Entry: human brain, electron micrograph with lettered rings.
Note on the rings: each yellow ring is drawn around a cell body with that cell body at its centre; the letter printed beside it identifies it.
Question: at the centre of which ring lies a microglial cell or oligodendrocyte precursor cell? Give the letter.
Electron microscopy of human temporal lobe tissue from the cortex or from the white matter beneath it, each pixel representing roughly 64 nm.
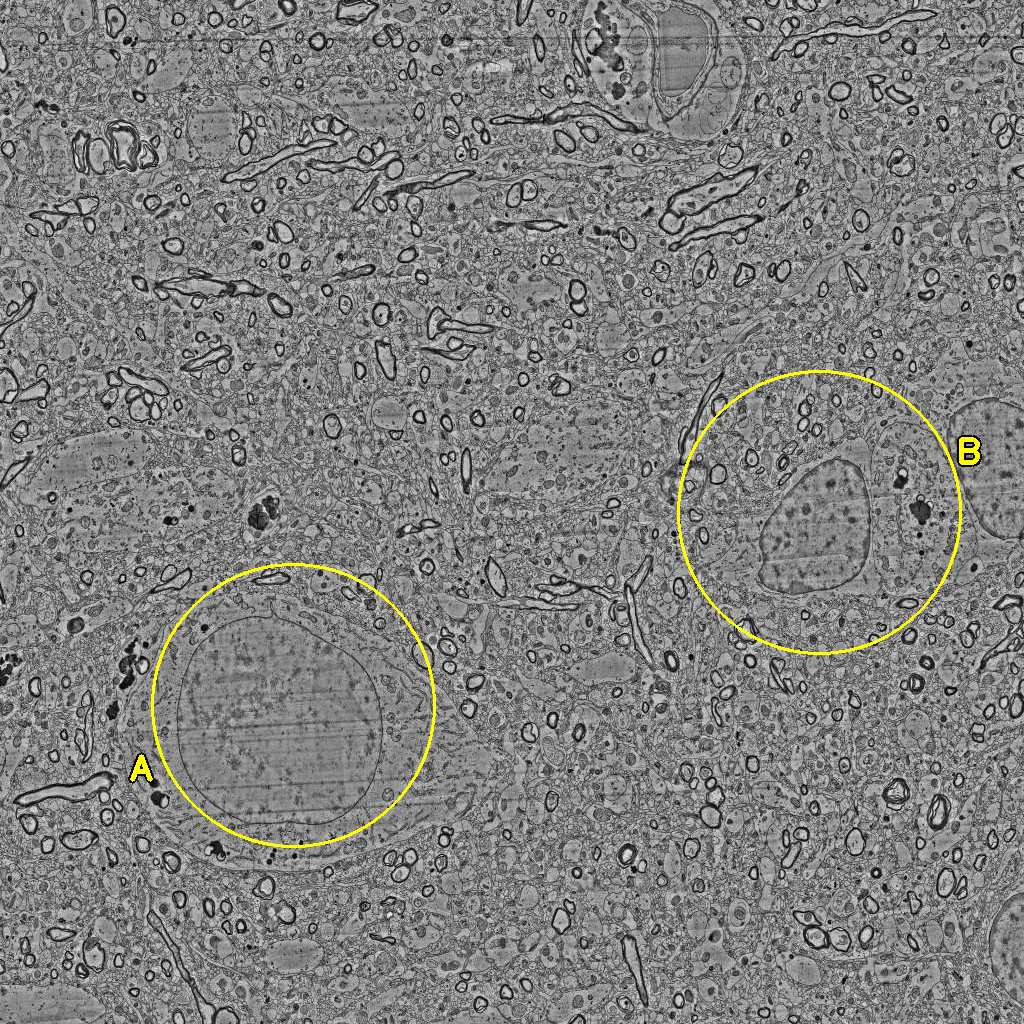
B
